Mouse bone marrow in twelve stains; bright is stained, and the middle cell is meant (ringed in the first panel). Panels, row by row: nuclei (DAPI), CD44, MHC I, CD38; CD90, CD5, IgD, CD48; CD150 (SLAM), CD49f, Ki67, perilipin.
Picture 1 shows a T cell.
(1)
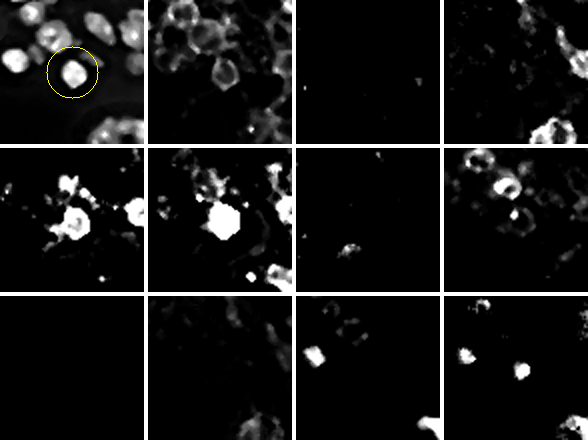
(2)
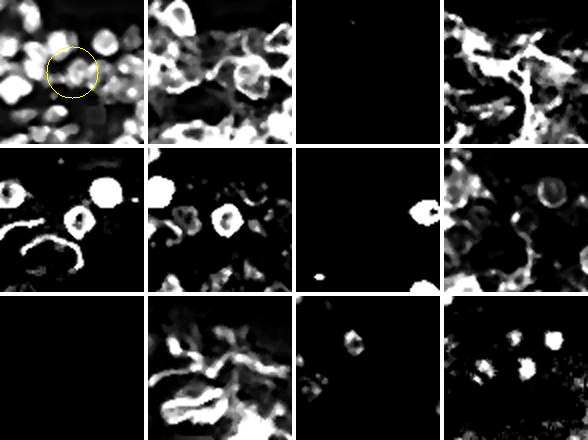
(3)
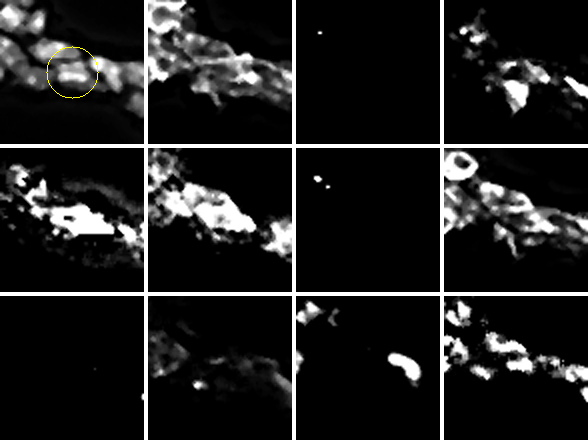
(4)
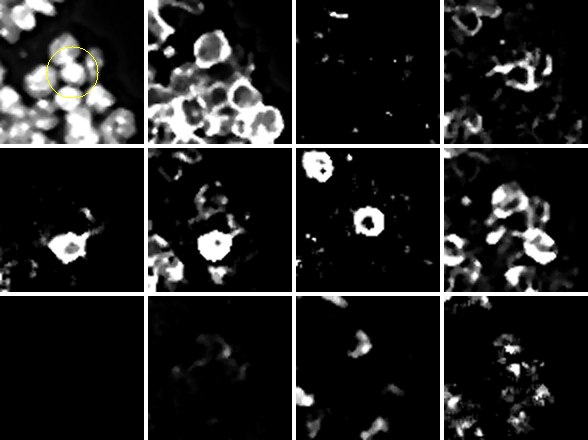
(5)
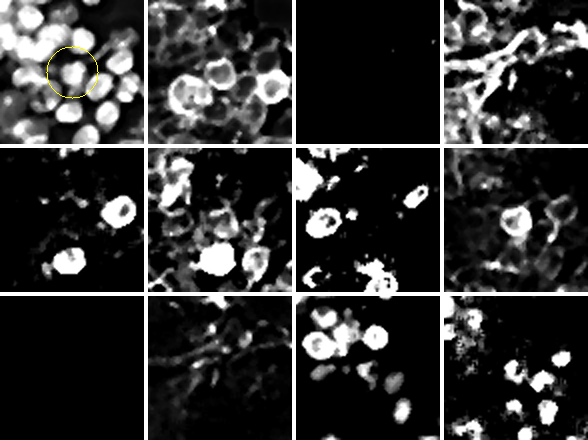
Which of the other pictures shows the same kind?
Picture 3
